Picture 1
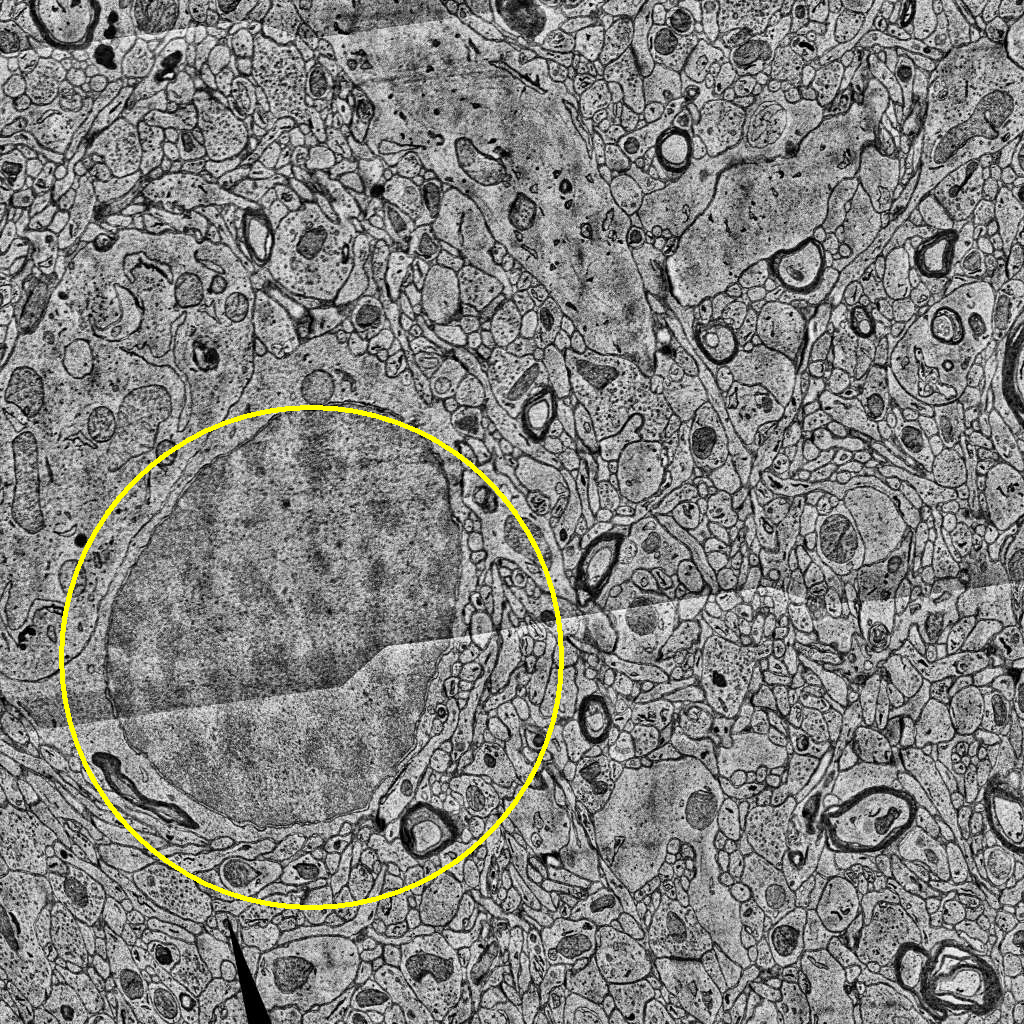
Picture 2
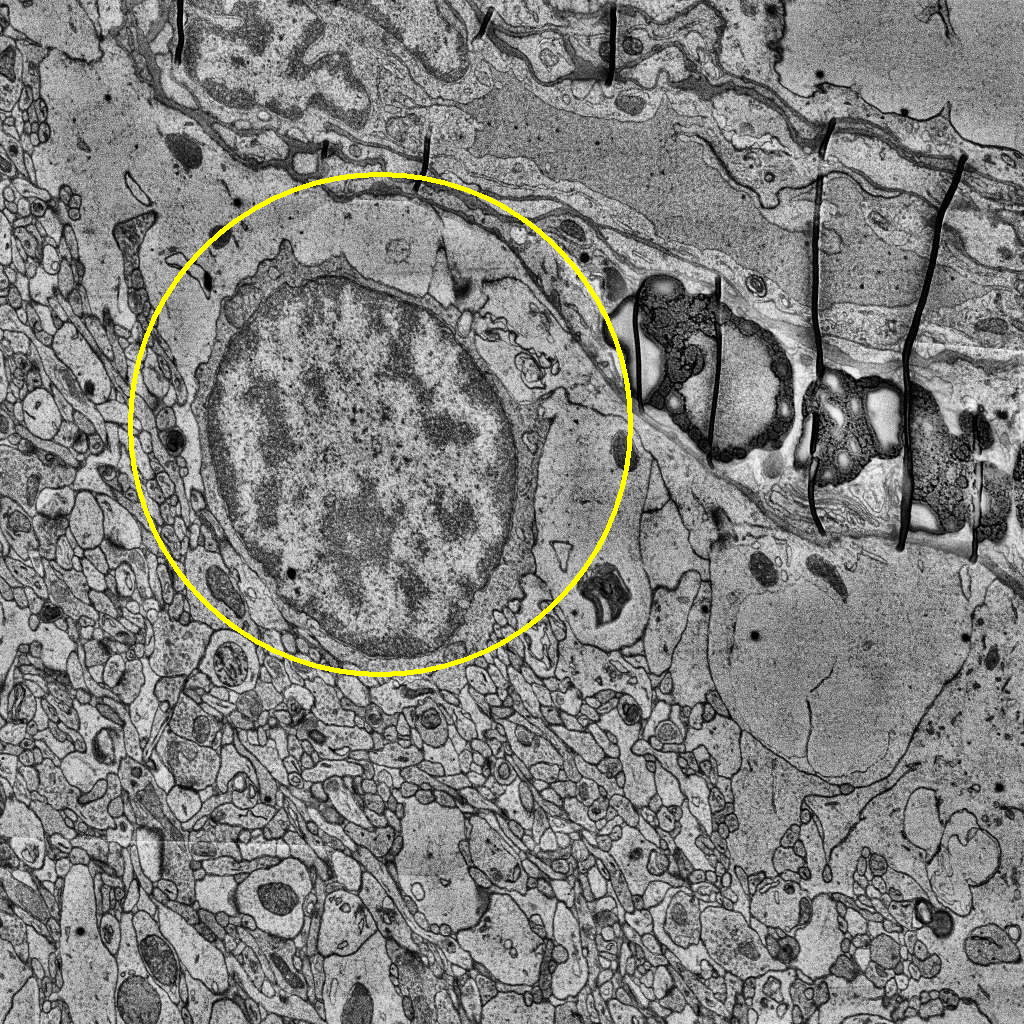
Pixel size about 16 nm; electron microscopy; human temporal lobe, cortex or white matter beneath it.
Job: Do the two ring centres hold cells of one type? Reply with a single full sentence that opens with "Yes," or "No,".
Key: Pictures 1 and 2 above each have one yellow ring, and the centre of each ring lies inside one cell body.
Yes, the cells at the two ring centres are of one single type.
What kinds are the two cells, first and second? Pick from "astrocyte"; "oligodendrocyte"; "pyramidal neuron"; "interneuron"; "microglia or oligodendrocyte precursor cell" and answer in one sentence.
Both cells are the same kind, each one being an oligodendrocyte.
